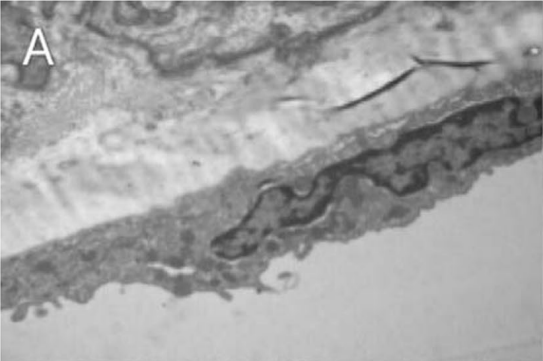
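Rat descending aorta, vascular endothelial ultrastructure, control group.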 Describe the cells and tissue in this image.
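A single flattened cell stretches along a smooth, empty lumen, with pale fibrous matrix on its other side. Its nucleus is long and narrow with a wavy outline and dark chromatin clumped along its edge.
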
